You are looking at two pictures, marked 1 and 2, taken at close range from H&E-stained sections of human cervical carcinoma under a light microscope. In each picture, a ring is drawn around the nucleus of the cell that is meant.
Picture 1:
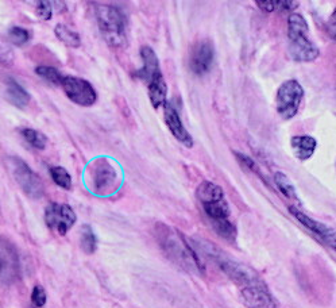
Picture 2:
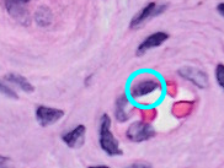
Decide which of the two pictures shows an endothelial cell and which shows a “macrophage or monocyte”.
1: macrophage or monocyte
2: endothelial cell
